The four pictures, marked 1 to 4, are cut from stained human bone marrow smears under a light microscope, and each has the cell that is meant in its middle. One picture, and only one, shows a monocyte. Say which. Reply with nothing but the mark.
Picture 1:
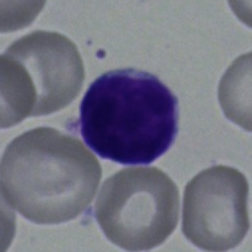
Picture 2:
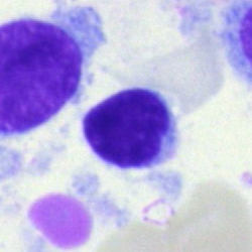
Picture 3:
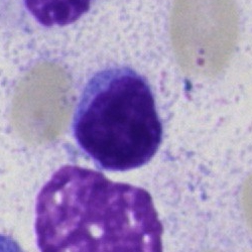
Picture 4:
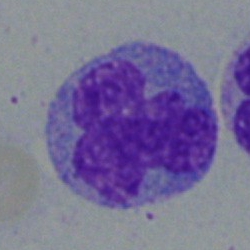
4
